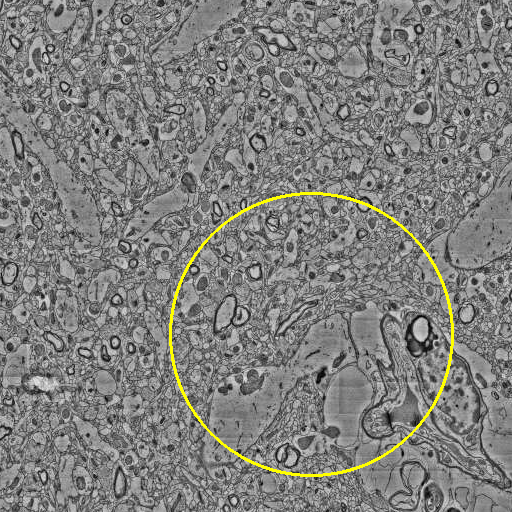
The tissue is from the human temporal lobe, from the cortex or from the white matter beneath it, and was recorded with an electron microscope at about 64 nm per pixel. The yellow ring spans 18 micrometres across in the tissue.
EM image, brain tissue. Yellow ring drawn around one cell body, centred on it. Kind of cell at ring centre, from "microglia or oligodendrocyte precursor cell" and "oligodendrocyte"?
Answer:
oligodendrocyte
